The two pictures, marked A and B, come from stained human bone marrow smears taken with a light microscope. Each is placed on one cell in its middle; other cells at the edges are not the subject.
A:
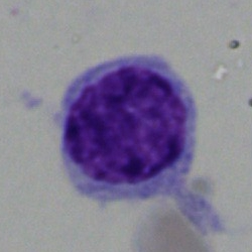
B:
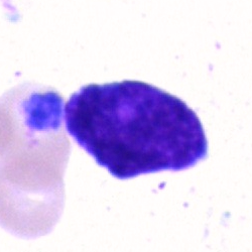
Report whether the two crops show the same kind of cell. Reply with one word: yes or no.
no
